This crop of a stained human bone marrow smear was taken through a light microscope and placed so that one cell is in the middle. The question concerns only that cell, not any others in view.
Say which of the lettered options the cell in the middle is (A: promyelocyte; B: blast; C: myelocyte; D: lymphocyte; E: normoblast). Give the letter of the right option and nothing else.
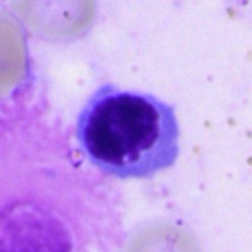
E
